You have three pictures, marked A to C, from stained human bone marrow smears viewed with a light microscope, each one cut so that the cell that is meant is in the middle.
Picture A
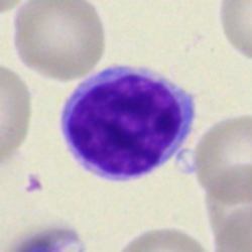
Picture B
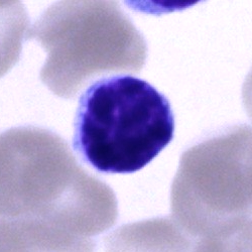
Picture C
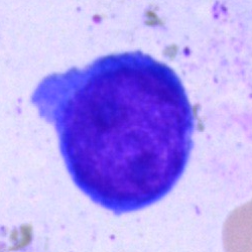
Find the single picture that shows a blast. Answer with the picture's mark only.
C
